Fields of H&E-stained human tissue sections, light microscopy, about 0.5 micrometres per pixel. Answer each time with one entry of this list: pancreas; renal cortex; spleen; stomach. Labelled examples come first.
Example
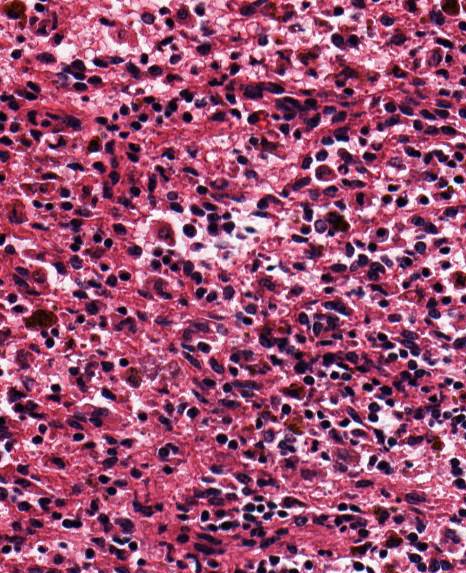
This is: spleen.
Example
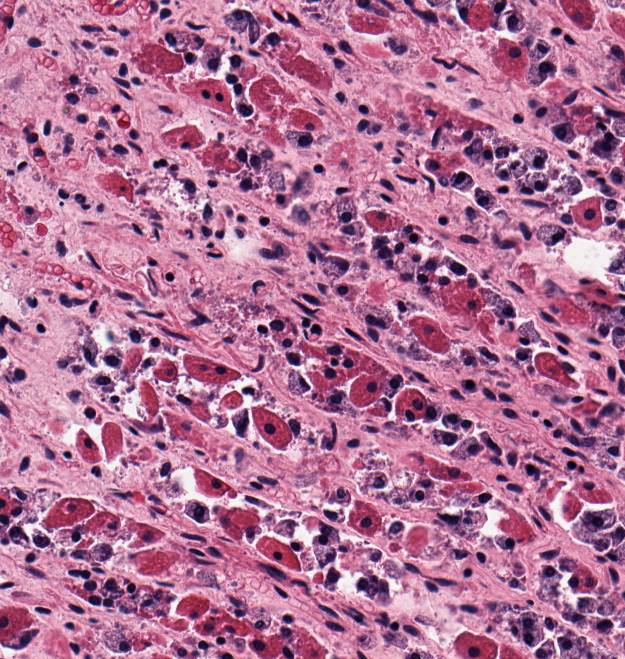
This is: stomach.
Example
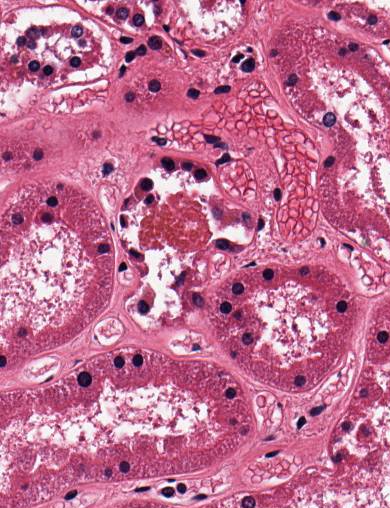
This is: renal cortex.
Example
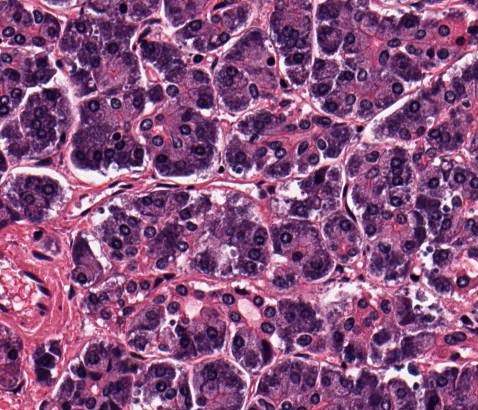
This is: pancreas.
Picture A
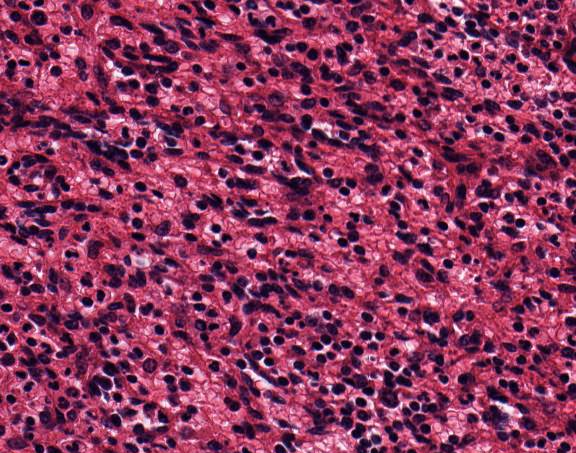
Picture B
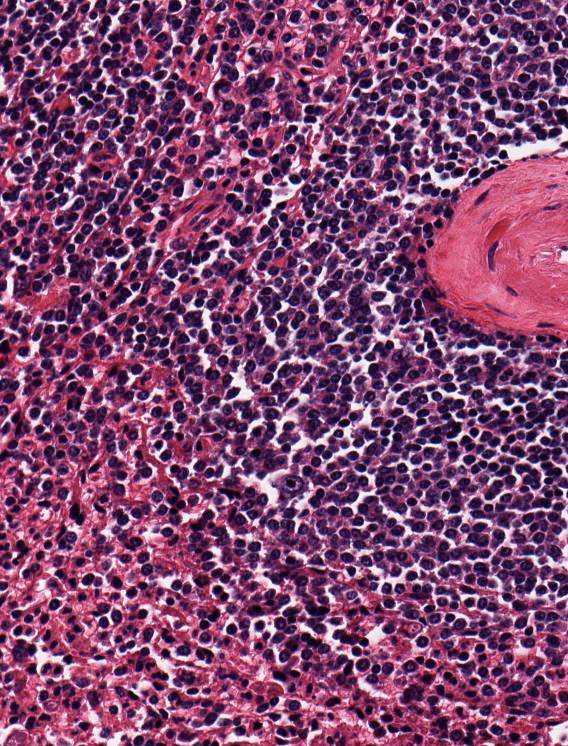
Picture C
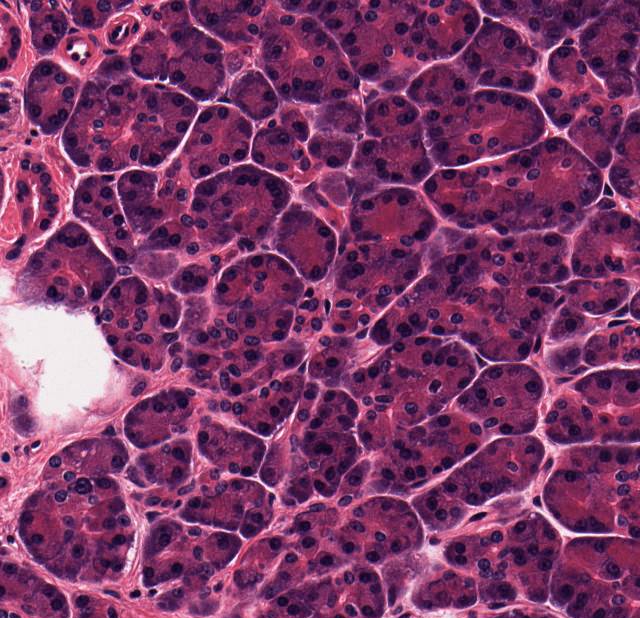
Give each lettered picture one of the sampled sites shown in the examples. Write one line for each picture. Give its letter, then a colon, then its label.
A: spleen.
B: spleen.
C: pancreas.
